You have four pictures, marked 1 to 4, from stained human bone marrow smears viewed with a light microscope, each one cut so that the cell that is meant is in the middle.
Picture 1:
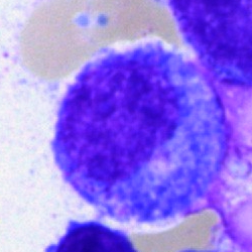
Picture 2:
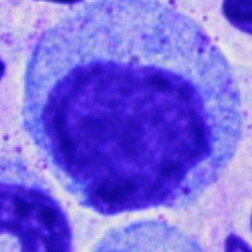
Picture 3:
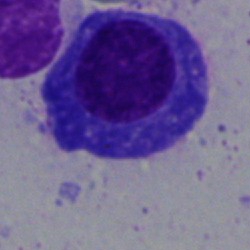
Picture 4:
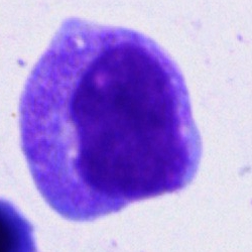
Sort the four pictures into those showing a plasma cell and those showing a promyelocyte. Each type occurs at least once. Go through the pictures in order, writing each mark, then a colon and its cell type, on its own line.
1: promyelocyte
2: promyelocyte
3: plasma cell
4: promyelocyte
